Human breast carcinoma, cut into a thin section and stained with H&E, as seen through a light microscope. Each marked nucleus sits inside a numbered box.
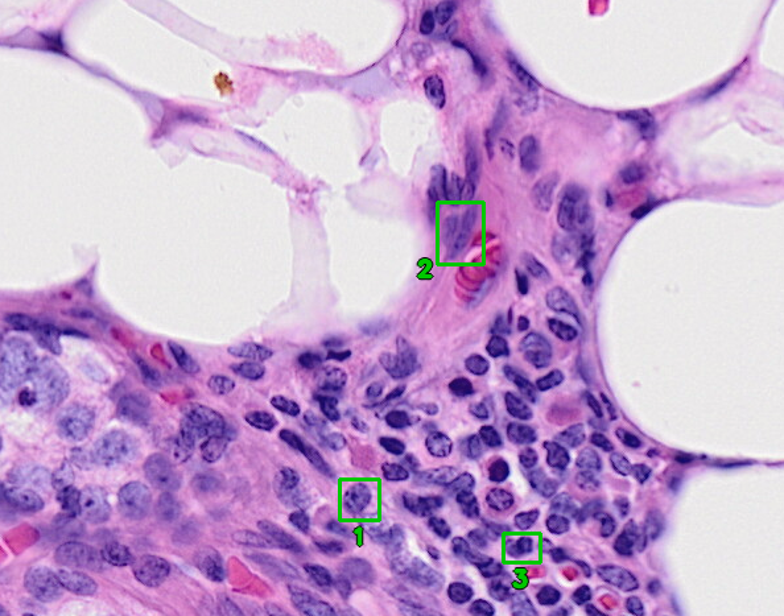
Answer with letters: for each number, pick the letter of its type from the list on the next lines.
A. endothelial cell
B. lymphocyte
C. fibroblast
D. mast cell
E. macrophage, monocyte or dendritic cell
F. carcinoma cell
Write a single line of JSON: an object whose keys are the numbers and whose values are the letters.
{"1": "D", "2": "A", "3": "B"}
